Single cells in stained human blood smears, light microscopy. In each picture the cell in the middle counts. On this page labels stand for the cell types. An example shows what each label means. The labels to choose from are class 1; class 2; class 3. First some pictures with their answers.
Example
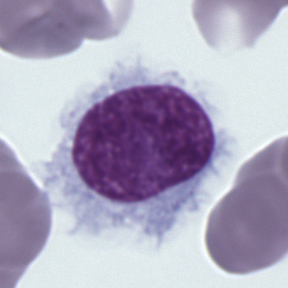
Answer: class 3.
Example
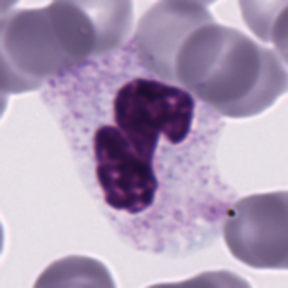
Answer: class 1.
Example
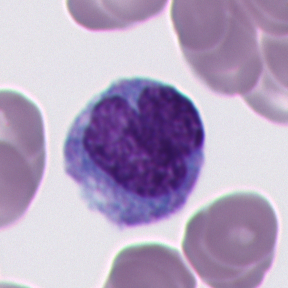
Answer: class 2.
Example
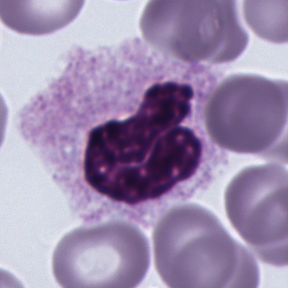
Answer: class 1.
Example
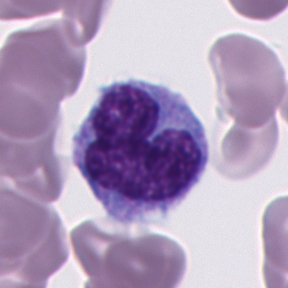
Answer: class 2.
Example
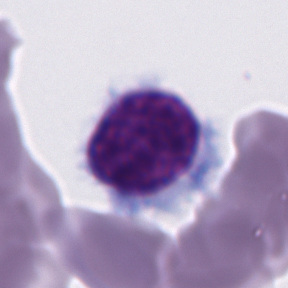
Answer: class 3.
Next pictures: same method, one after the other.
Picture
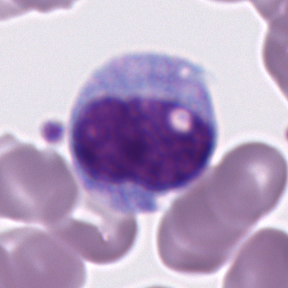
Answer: class 2.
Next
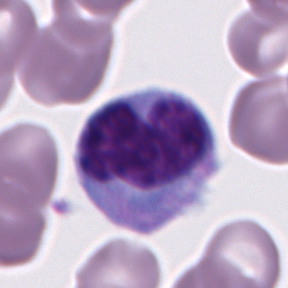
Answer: class 2.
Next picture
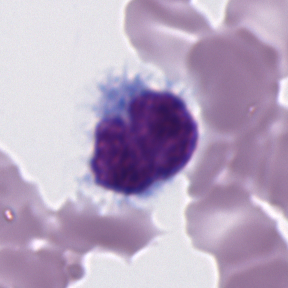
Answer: class 3.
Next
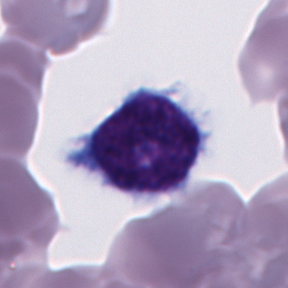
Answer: class 3.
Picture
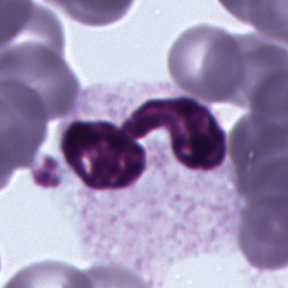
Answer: class 1.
